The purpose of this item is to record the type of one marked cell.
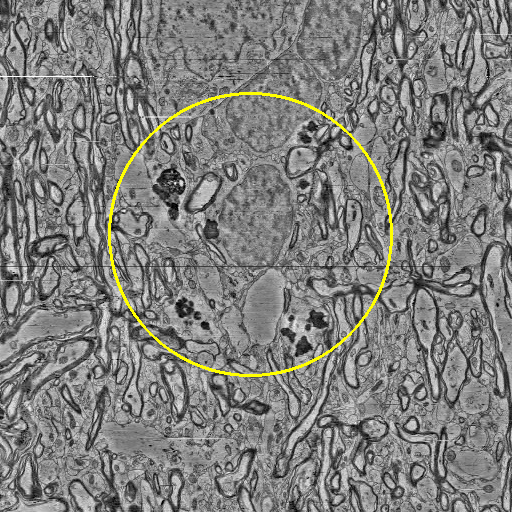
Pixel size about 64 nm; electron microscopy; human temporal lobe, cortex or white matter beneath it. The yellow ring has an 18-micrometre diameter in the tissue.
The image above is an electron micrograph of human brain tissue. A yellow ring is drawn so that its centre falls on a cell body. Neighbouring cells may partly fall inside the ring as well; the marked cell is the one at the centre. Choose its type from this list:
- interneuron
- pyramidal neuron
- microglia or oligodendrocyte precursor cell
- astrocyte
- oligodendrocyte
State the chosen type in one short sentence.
What the ring marks here is an oligodendrocyte.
